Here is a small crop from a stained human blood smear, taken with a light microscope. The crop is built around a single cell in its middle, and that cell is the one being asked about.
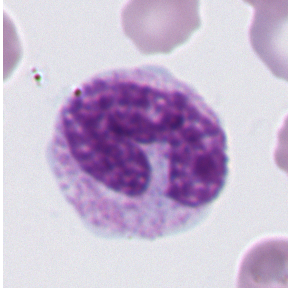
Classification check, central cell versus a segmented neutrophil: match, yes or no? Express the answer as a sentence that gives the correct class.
No, the centered cell is a band neutrophil and not a segmented neutrophil at all.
